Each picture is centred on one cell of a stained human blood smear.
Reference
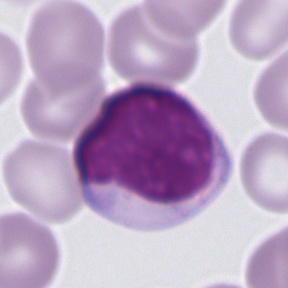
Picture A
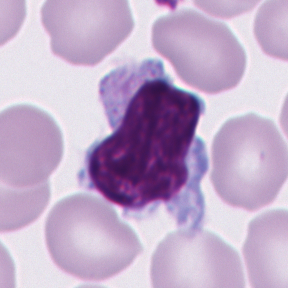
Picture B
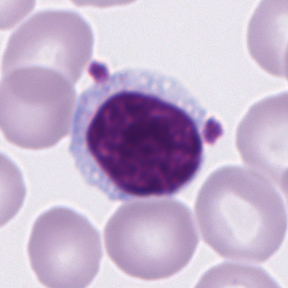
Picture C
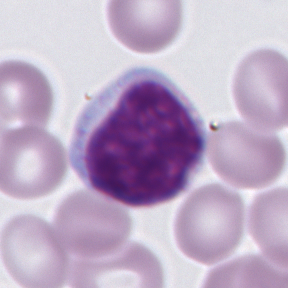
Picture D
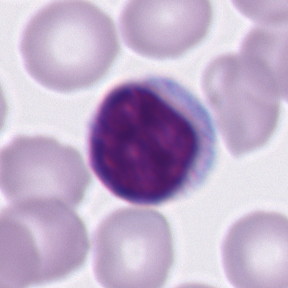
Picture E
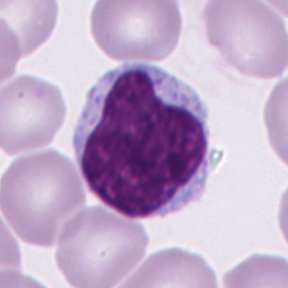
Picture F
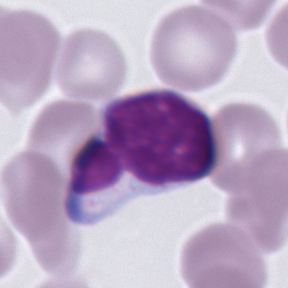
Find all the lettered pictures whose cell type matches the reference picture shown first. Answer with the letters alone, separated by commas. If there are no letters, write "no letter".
C, F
